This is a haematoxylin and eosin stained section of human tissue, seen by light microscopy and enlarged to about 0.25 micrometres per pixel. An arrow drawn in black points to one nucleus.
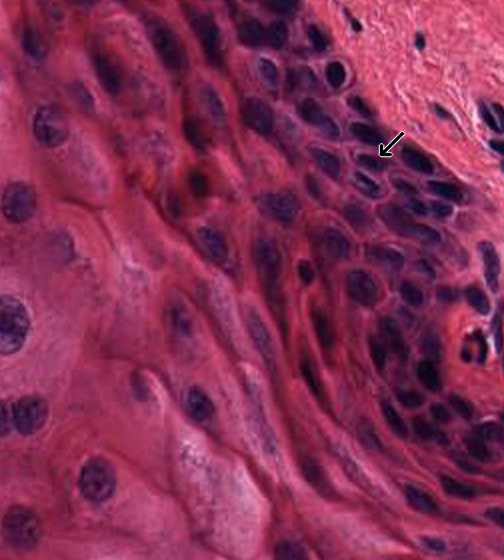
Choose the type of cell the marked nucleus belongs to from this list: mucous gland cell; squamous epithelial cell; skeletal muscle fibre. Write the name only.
squamous epithelial cell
